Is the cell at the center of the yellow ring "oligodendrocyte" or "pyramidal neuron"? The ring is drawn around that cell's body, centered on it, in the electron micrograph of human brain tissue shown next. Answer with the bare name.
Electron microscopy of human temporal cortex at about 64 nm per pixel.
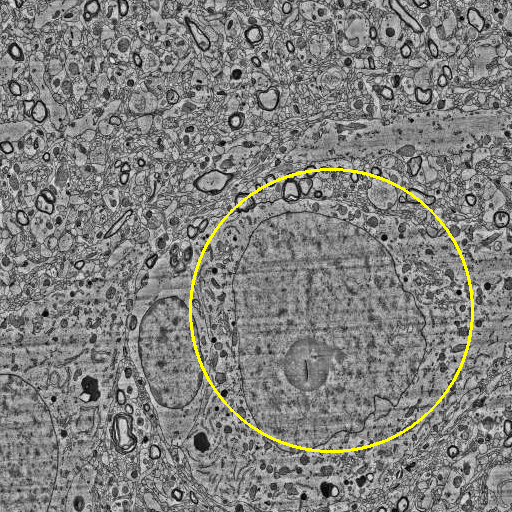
pyramidal neuron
